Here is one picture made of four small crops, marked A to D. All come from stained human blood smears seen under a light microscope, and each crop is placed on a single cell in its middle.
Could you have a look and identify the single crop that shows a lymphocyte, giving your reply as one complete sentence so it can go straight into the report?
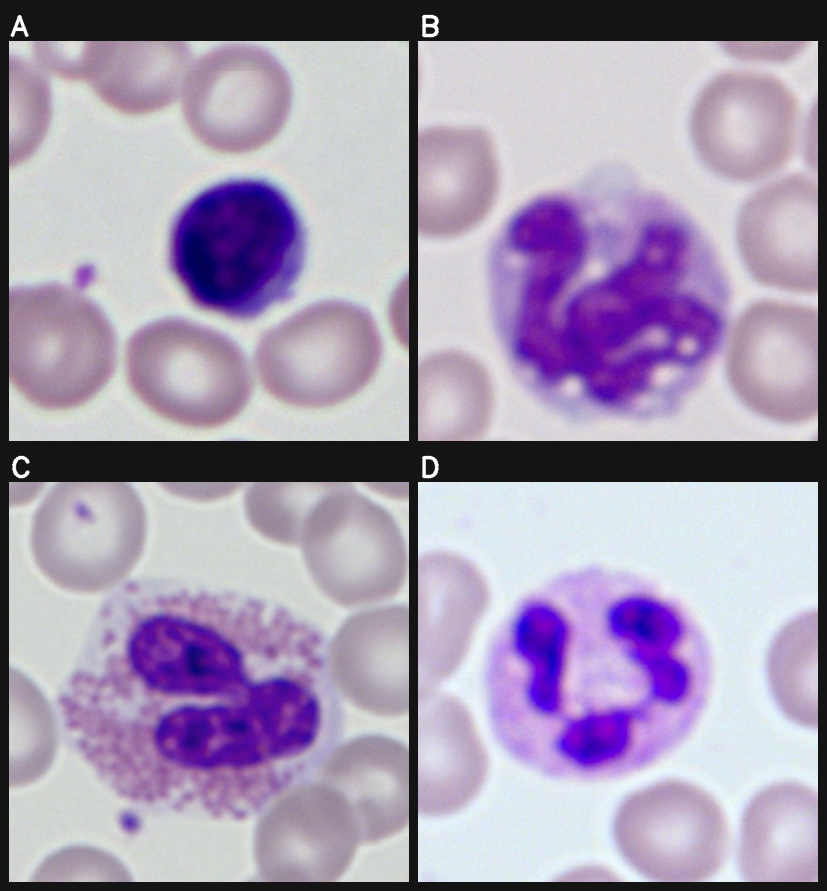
Crop A, and no other, is the one that shows a lymphocyte.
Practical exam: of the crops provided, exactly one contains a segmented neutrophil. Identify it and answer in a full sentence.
That would be crop D; it shows a segmented neutrophil.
